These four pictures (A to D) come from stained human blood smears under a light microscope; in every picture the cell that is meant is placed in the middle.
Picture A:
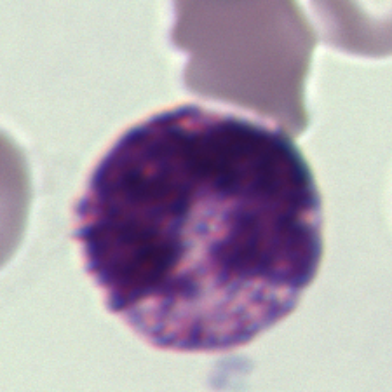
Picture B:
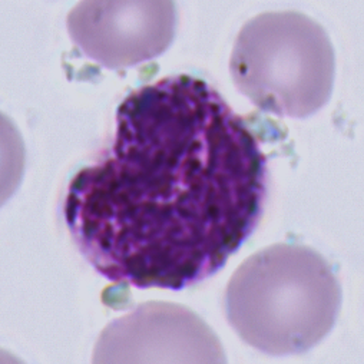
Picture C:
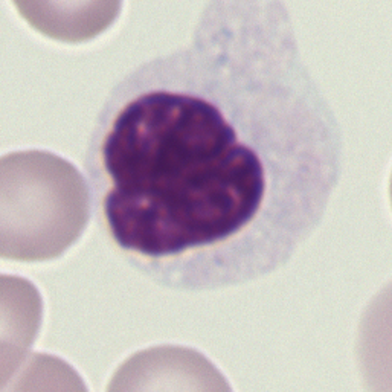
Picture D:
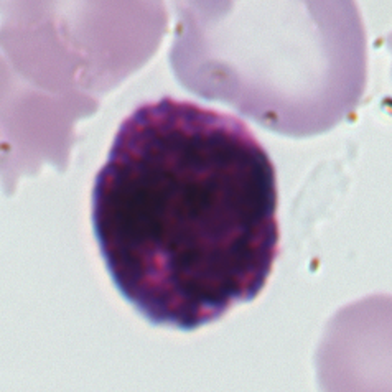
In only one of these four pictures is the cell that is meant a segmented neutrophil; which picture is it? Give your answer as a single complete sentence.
The picture with the segmented neutrophil is C.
